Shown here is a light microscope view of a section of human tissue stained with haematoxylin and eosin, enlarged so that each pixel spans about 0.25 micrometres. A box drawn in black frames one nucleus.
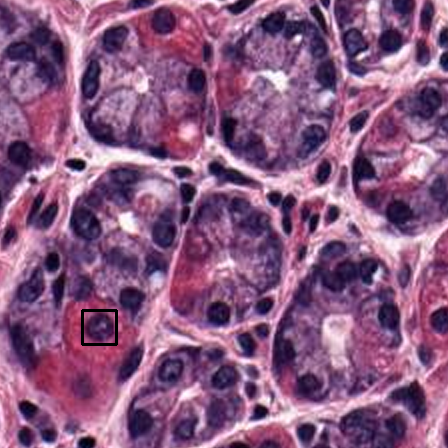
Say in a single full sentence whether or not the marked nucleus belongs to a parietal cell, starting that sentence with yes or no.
Yes, to a parietal cell belongs the marked nucleus.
